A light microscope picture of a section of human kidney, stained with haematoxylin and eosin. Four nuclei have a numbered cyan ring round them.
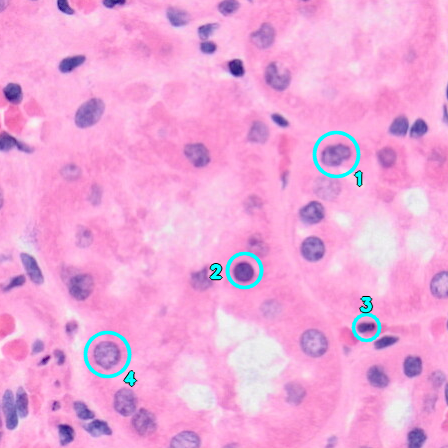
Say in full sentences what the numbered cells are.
Cells 1, 2 and 4 are proximal tubule cells. Cell 3 is an endothelial cell.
